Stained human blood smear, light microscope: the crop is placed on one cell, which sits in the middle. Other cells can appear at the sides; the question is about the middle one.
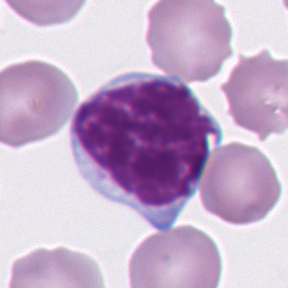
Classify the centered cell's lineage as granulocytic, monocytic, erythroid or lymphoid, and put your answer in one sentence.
The cell found in the middle of this crop is lymphoid in lineage.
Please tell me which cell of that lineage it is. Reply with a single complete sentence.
The cell of interest, located centrally, is a typical lymphocyte.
